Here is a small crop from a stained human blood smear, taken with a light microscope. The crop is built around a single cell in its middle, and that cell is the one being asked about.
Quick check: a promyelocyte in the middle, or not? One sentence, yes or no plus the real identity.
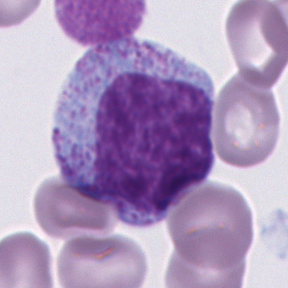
Yes, what sits in the centre of the crop is a promyelocyte.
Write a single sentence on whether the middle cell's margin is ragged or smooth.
Worth noting that the cell border is smooth and lacks projections.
